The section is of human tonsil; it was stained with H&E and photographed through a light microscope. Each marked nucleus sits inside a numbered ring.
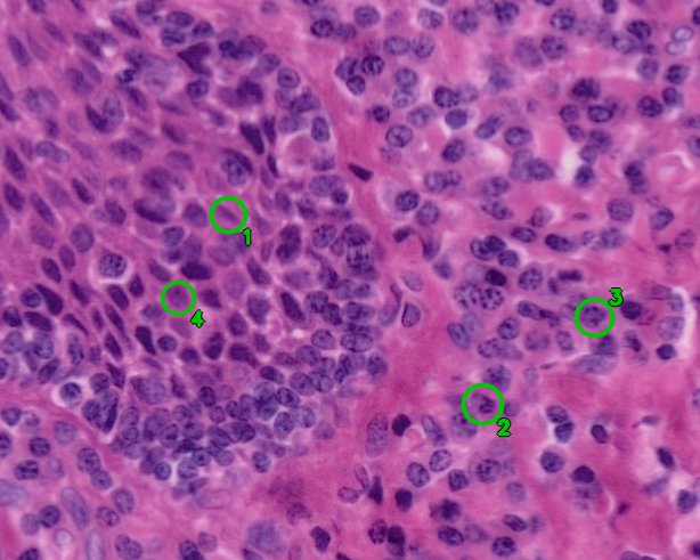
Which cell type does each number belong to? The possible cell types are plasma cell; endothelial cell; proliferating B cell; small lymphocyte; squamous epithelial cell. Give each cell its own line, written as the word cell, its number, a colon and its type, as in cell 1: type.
cell 1: squamous epithelial cell
cell 2: plasma cell
cell 3: plasma cell
cell 4: squamous epithelial cell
